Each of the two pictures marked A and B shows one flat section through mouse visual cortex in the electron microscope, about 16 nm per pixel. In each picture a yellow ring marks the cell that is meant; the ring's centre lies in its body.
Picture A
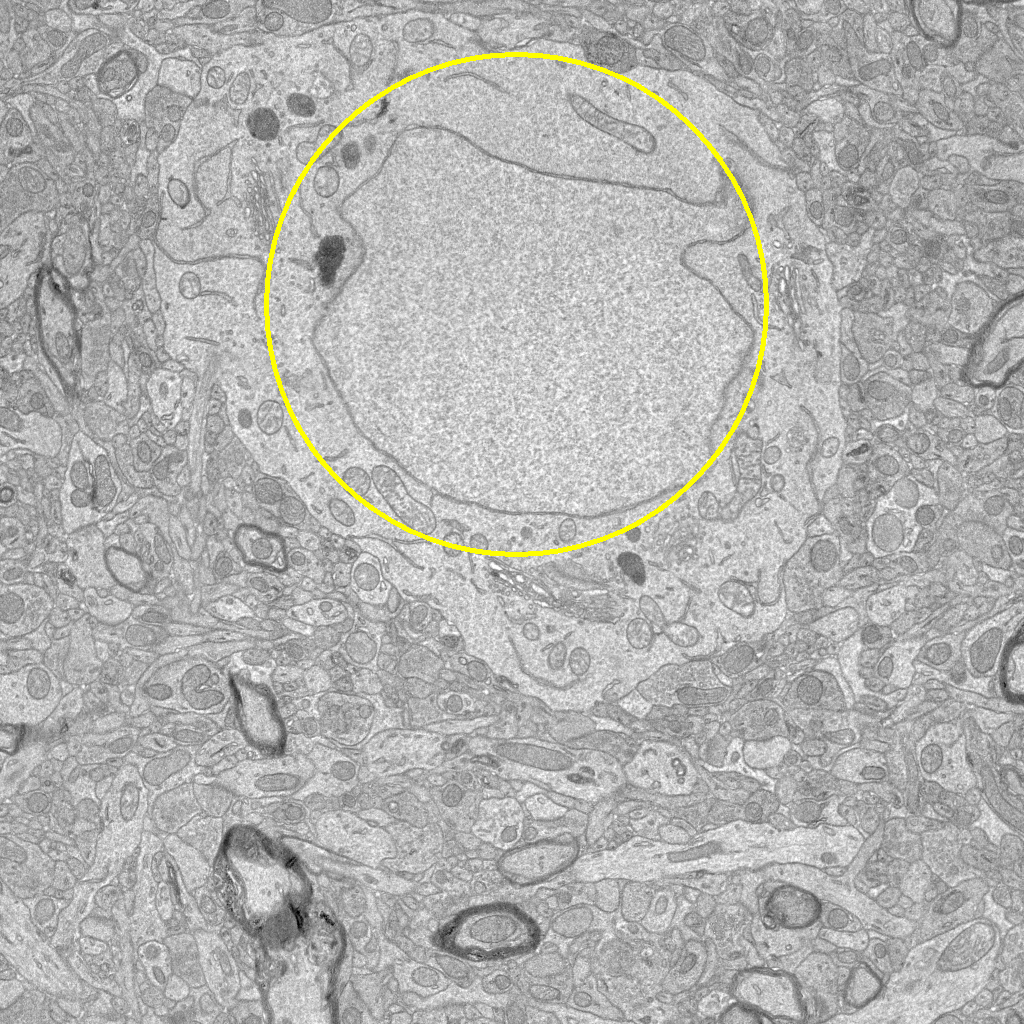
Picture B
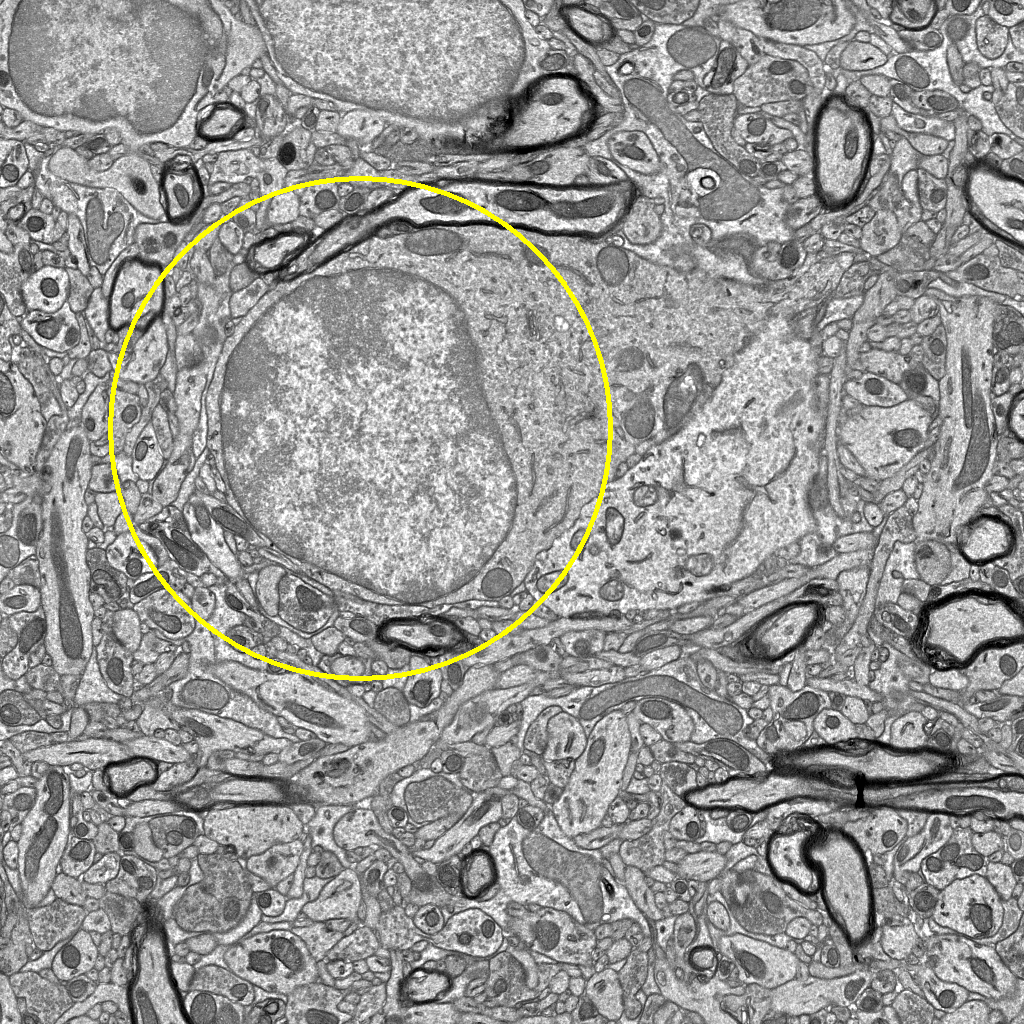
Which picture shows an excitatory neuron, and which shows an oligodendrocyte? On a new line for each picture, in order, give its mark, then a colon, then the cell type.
A: excitatory neuron
B: oligodendrocyte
